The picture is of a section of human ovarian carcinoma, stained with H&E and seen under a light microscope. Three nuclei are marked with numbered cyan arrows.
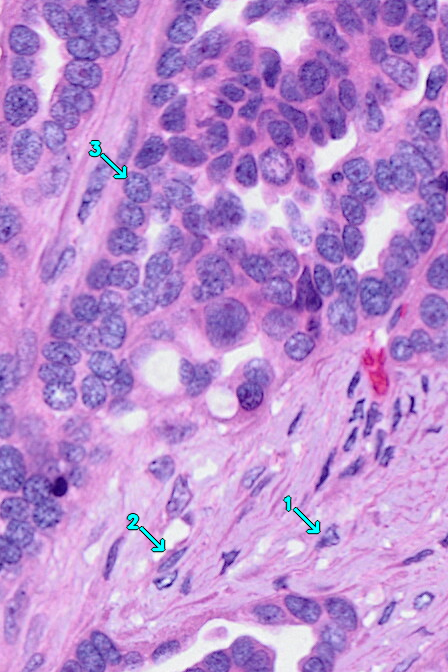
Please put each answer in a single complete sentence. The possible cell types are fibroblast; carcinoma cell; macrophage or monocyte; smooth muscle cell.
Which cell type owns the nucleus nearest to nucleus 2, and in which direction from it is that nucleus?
A fibroblast lies closest, below nucleus 2.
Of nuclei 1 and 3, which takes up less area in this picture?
With nucleus 3 about 2 times its size, nucleus 1 is the smaller of the two.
